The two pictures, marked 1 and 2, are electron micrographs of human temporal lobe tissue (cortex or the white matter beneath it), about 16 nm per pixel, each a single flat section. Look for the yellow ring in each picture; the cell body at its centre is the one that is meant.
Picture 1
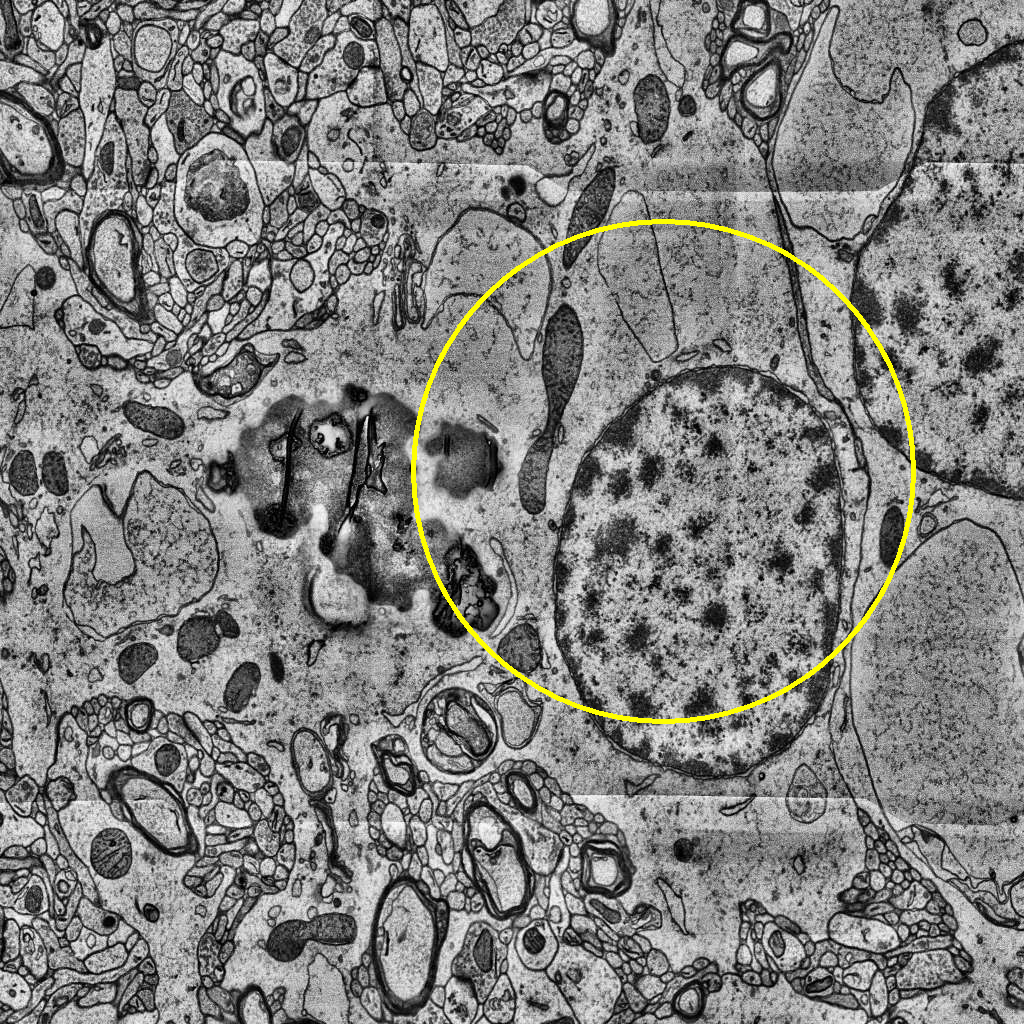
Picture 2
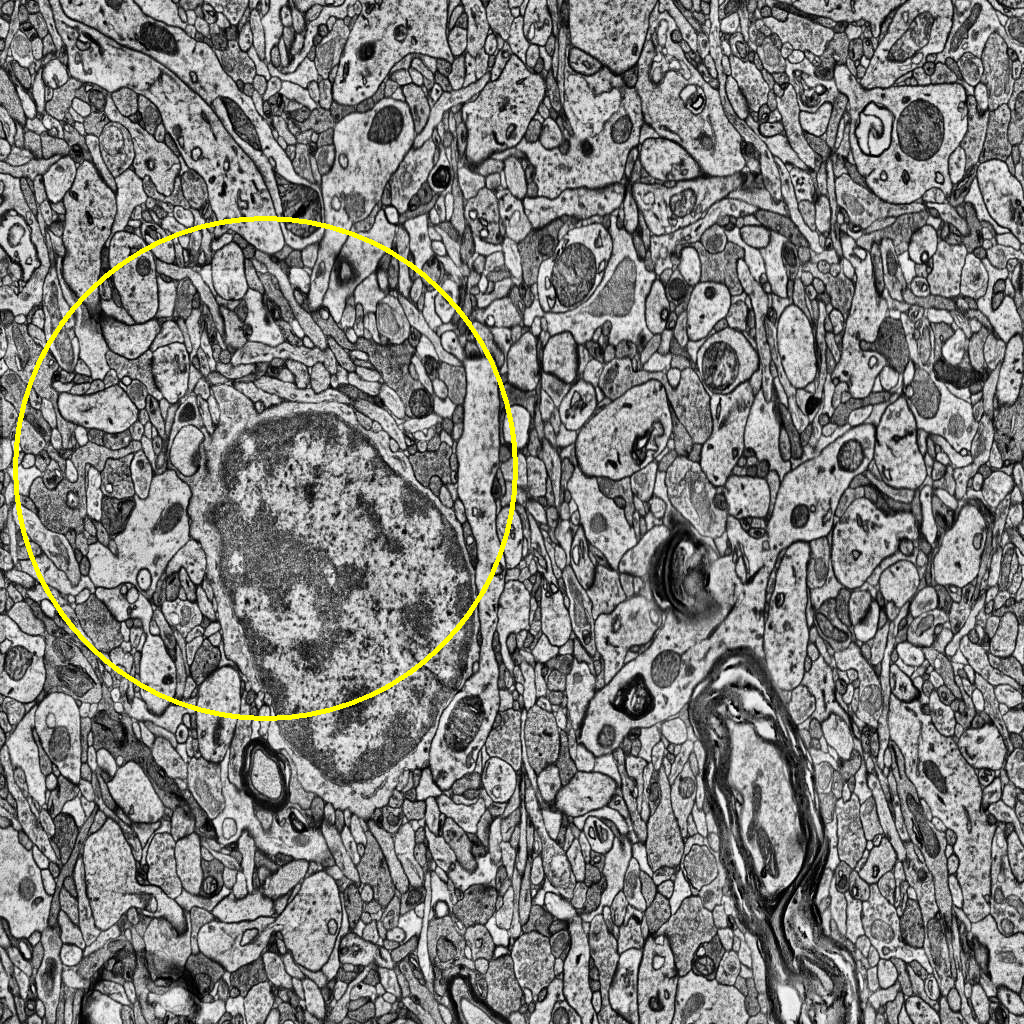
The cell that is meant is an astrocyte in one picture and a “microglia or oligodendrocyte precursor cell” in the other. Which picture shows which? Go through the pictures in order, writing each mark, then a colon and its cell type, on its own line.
1: astrocyte
2: microglia or oligodendrocyte precursor cell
